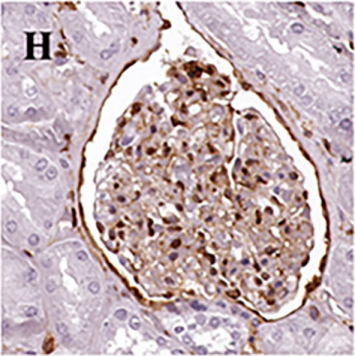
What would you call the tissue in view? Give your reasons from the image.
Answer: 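Glomeruli. A rounded cellular tuft sits within a capsule. A clear crescent of space separates tuft and capsule. Tubules with cuboidal epithelium surround it.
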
